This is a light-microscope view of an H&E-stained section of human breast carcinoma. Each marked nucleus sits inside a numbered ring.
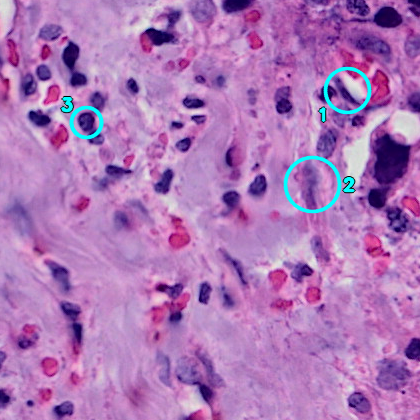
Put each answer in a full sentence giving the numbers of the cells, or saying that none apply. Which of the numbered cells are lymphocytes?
Only one marked cell, number 3, is a lymphocyte.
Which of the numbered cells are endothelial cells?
As for the numbered cells, only cell 1 is an endothelial cell.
